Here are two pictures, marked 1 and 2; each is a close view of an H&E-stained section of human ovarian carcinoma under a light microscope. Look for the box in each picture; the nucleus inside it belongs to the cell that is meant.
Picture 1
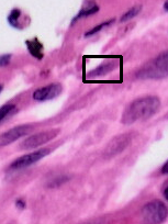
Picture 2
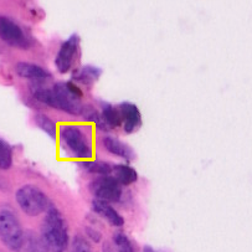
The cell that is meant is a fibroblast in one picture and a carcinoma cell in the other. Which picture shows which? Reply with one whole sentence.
In picture 1 the cell is a fibroblast; in picture 2, a carcinoma cell.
